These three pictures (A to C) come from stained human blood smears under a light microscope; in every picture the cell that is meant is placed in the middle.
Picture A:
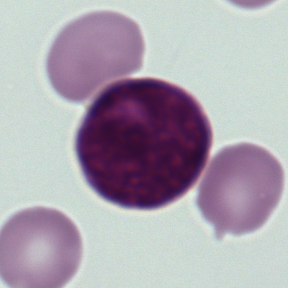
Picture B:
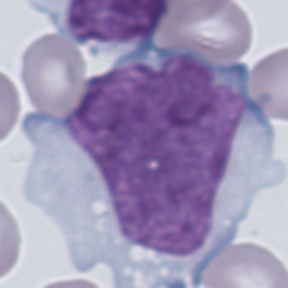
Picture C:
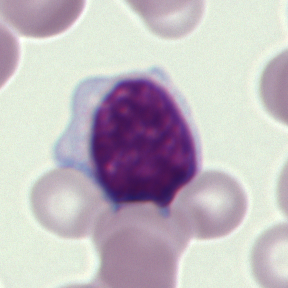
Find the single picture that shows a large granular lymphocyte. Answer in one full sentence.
The cell in picture C is the large granular lymphocyte.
